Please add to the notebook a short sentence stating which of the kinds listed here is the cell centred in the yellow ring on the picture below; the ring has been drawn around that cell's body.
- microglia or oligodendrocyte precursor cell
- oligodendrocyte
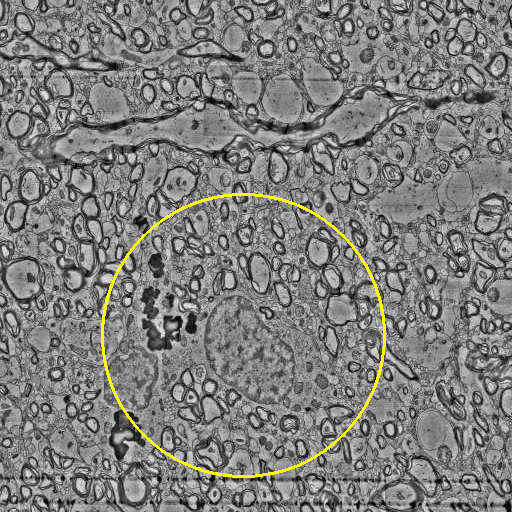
The cell centred in the yellow ring is an oligodendrocyte.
